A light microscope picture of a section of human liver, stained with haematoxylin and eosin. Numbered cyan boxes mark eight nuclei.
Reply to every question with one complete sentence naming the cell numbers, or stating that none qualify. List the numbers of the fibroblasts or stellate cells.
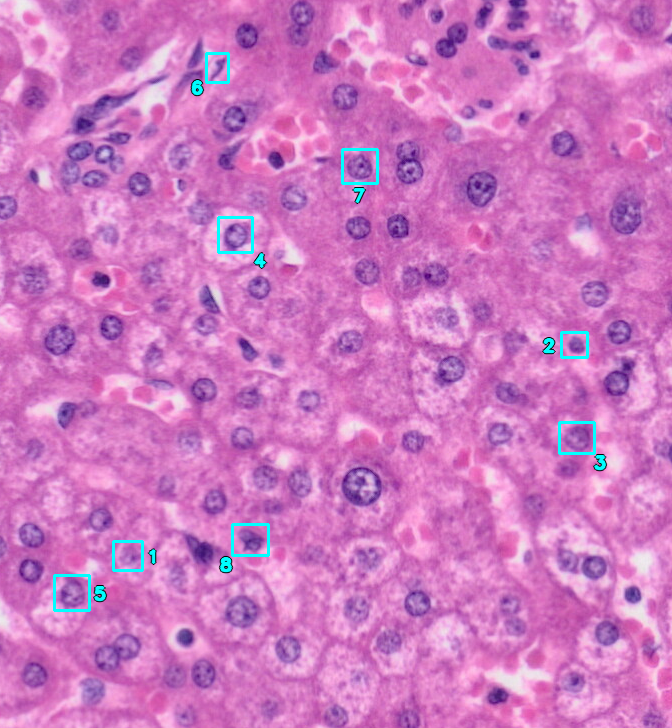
Cell 6 is the only numbered cell that is a fibroblast or stellate cell.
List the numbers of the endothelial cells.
Within the set of numbered cells, only number 8 is an endothelial cell.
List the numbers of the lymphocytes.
The numbered cells include exactly one that is a lymphocyte, which is cell 2.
